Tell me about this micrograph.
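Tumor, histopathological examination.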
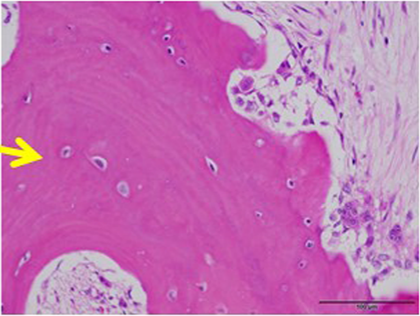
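A broad trabecula of bright pink bone with a layered matrix occupies most of the field, with small cells lying singly in lacunae. Along its right border lies a looser tissue of spindle-shaped cells with elongated nuclei and a few plump cells at the bone surface. A rounded space at the lower left contains loose pale tissue.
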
